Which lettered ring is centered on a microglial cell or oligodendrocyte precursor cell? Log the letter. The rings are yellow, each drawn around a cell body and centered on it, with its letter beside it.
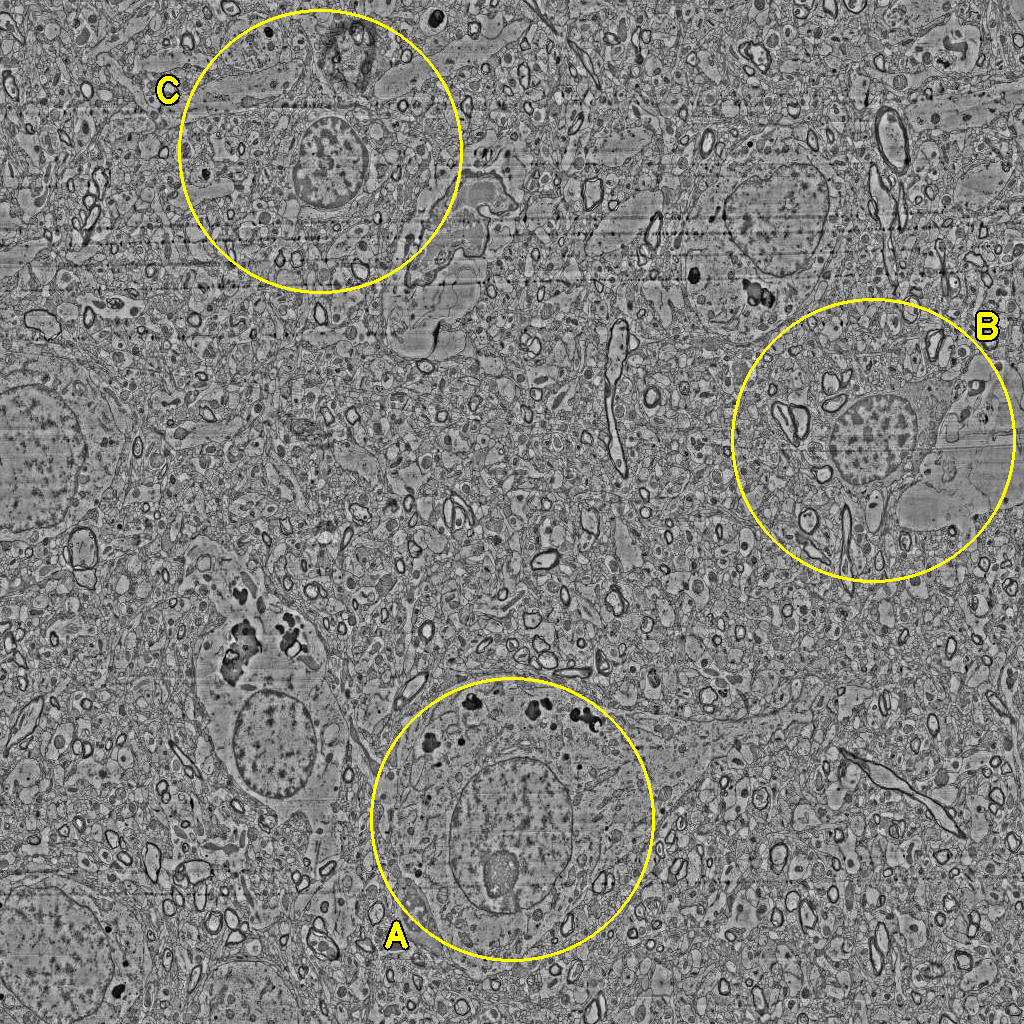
C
